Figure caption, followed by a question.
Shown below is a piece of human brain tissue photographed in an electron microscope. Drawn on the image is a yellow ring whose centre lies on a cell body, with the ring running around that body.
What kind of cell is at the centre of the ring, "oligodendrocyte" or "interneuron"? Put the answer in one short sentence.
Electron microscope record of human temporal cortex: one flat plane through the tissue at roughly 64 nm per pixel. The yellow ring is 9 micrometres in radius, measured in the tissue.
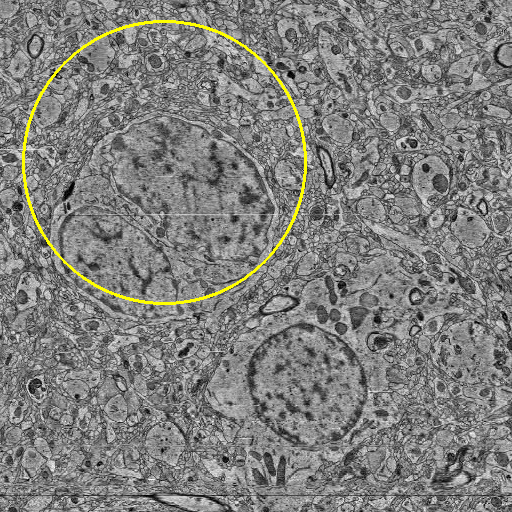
The ring marks the cell body of an interneuron.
